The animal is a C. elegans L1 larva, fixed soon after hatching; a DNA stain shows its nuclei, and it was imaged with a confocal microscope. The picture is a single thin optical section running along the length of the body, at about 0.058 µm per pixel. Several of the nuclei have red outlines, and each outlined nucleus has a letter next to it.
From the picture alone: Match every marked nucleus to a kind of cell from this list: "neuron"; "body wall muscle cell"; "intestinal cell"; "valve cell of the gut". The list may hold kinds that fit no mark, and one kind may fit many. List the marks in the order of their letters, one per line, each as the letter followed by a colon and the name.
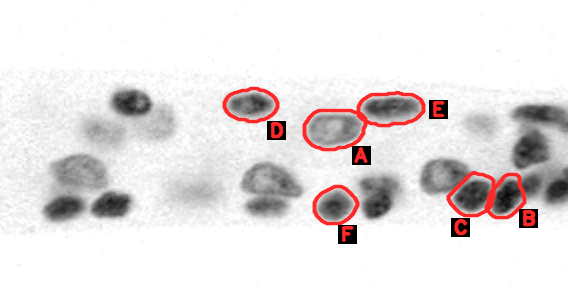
A: intestinal cell
B: neuron
C: neuron
D: body wall muscle cell
E: body wall muscle cell
F: neuron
